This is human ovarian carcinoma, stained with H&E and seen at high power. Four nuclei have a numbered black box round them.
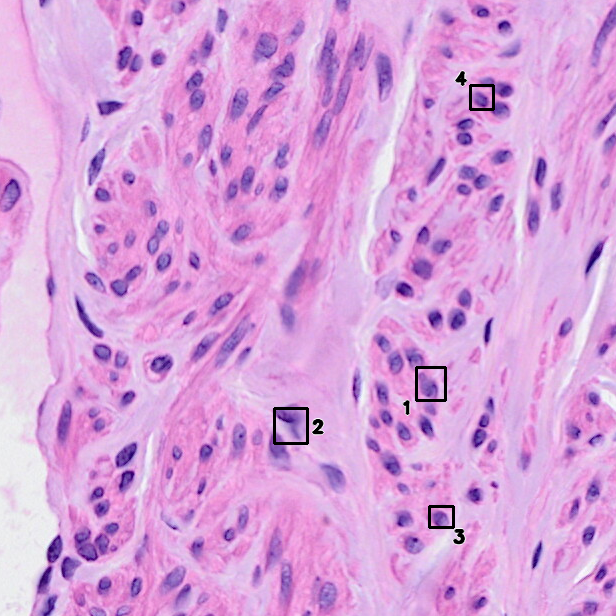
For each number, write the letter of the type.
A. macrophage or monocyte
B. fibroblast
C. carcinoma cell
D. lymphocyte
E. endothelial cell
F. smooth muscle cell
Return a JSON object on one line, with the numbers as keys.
{"1": "F", "2": "B", "3": "F", "4": "F"}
